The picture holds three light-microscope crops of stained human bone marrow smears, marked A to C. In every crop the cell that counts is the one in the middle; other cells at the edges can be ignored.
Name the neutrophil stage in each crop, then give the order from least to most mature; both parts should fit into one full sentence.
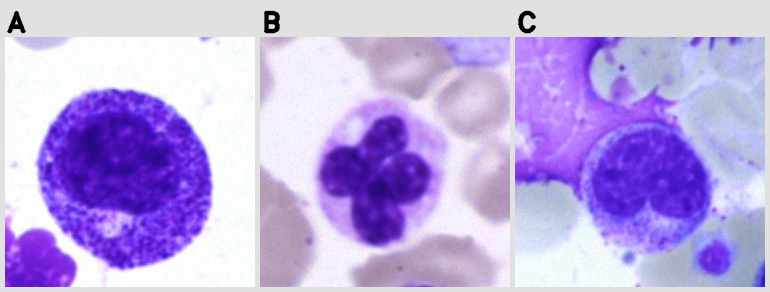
Once sorted from least to most mature, the sequence is crop A (a myelocyte), crop C (a metamyelocyte) and crop B (a segmented neutrophil).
